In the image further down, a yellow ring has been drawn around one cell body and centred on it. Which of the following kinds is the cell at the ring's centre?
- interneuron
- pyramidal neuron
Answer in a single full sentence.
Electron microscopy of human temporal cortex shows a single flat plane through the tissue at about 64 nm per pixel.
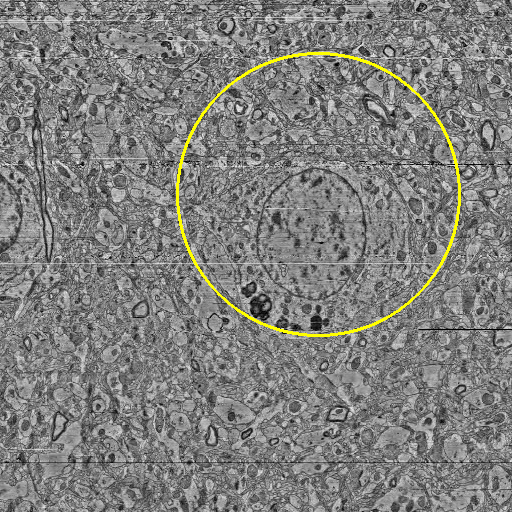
In the picture, the cell sitting at the centre of the yellow ring is a pyramidal neuron.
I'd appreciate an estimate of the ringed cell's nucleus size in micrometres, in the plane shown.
About 9 by 7 micrometres in this plane.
